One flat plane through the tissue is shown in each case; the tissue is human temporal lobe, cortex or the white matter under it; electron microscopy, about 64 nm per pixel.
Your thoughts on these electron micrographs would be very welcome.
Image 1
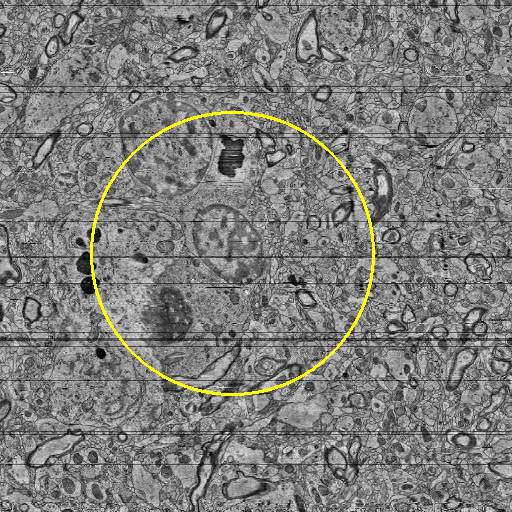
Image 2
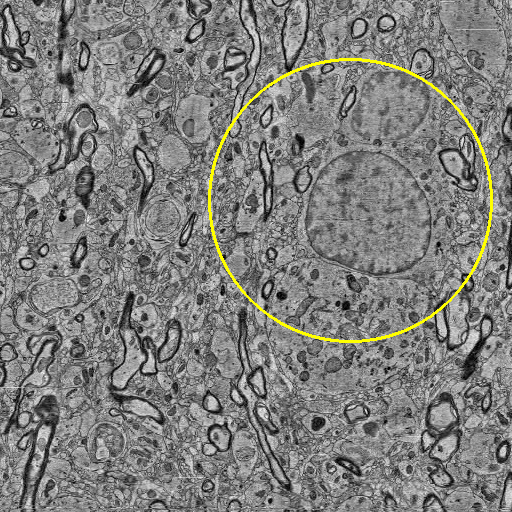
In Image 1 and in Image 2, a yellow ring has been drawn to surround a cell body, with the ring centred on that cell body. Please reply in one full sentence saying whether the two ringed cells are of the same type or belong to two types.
The ringed cells in Image 1 and Image 2 are of the same type.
